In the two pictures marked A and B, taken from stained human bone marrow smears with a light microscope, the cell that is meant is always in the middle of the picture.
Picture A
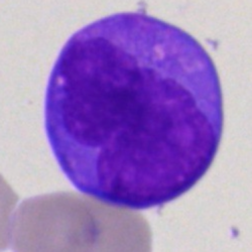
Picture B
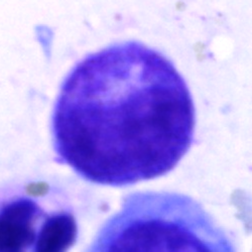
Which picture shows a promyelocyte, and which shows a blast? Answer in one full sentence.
It is picture A that shows a blast, and picture B that shows a promyelocyte.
